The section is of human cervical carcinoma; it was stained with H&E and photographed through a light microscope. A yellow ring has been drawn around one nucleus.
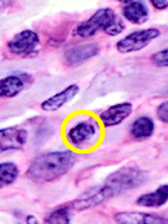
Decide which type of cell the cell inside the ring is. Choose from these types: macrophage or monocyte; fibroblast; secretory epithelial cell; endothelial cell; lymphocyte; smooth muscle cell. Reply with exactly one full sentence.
In this field of tissue, the cell inside the ring is a lymphocyte.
